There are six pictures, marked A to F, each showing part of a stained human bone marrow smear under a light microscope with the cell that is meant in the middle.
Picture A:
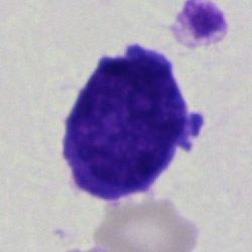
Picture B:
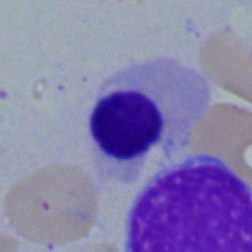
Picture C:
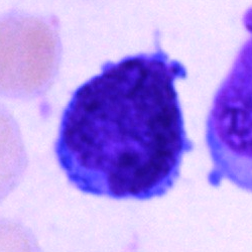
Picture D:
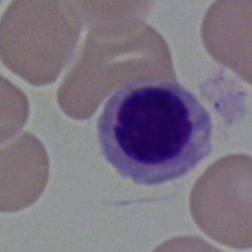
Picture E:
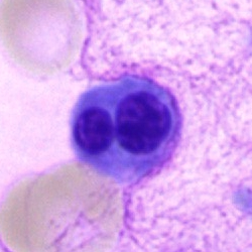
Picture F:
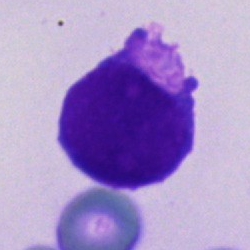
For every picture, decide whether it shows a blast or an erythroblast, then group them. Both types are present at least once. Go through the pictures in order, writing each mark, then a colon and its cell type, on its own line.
A: blast
B: erythroblast
C: blast
D: erythroblast
E: erythroblast
F: blast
